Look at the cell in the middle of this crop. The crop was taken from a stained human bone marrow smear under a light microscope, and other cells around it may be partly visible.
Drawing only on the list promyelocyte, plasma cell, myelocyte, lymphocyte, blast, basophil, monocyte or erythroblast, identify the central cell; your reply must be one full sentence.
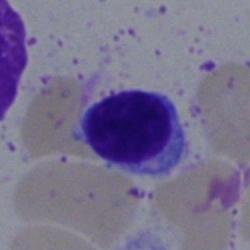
Located at the centre of the crop is a lymphocyte.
